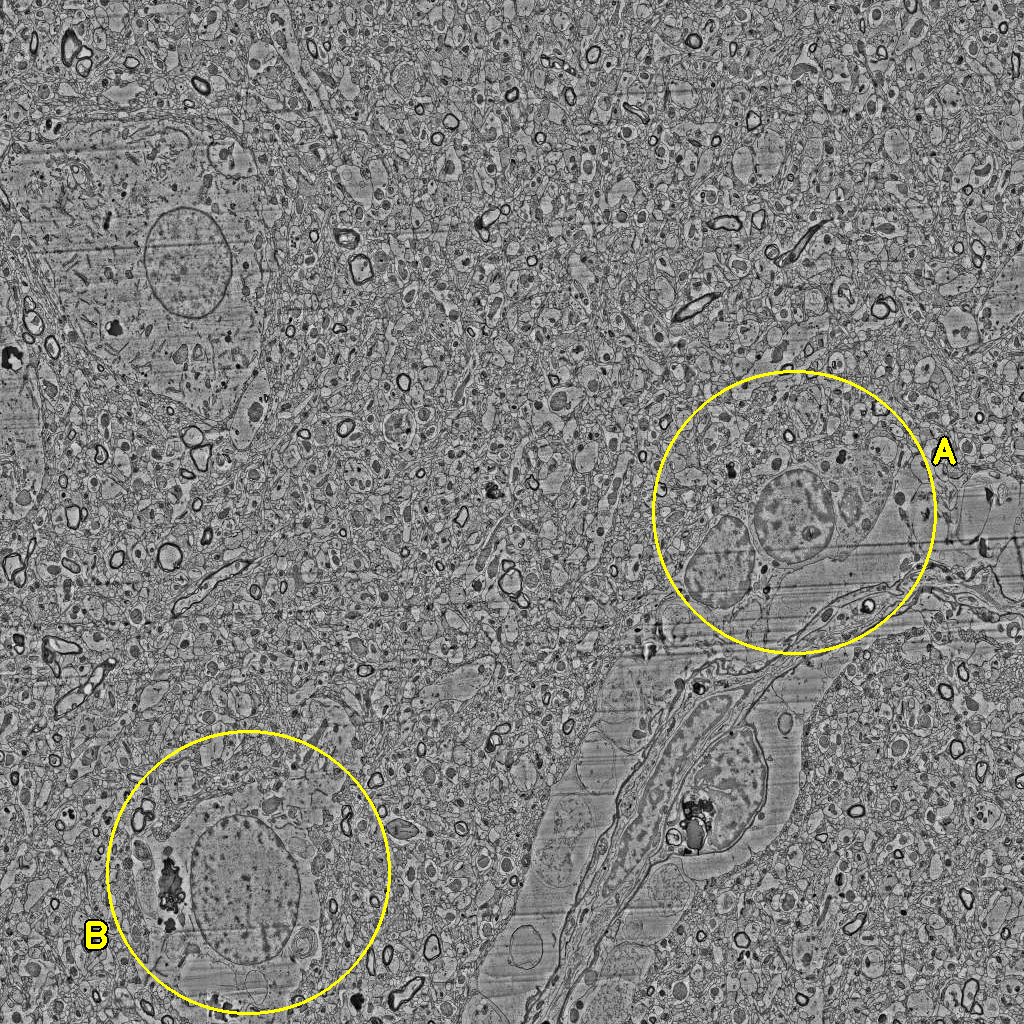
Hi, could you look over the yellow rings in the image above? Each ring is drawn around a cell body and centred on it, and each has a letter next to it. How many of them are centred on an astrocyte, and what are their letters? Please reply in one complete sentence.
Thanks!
In the micrograph, an astrocyte sits at the centre of a single ring, lettered B.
